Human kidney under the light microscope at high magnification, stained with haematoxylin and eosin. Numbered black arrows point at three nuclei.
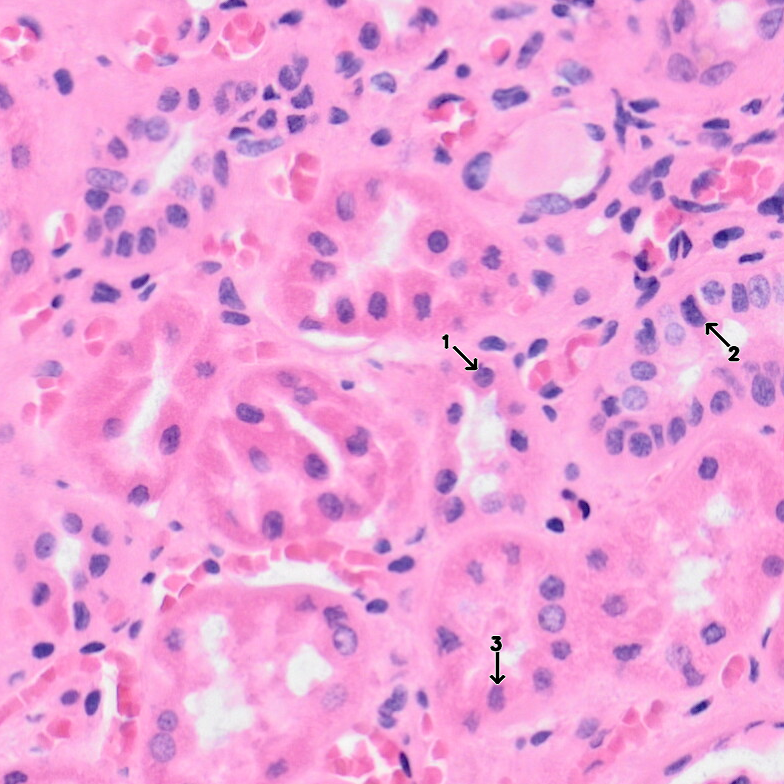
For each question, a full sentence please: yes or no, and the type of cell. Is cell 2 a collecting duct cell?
Yes, what number 2 marks is a collecting duct cell.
